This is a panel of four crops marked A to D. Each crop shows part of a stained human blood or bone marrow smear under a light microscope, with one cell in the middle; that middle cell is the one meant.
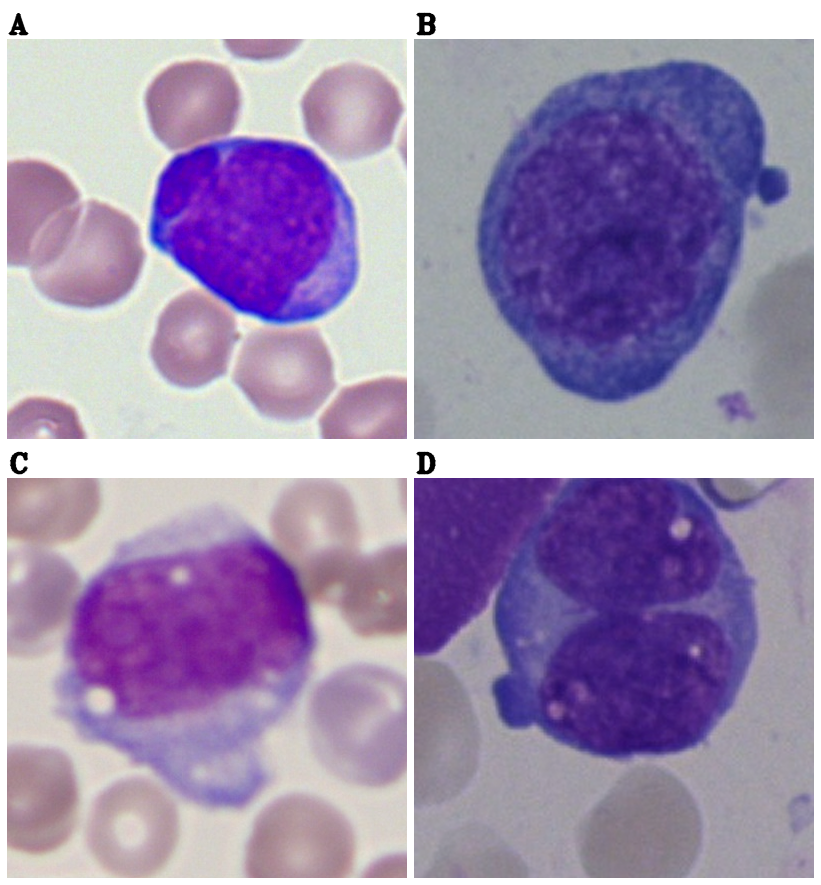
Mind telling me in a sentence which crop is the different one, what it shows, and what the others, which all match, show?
Of these crops, only crop C is a monocyte; the others are blasts.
